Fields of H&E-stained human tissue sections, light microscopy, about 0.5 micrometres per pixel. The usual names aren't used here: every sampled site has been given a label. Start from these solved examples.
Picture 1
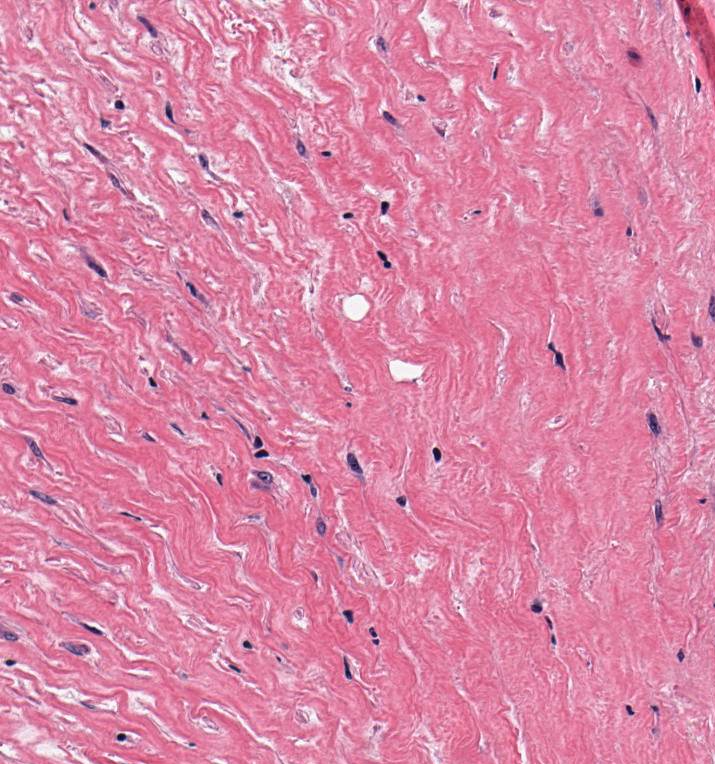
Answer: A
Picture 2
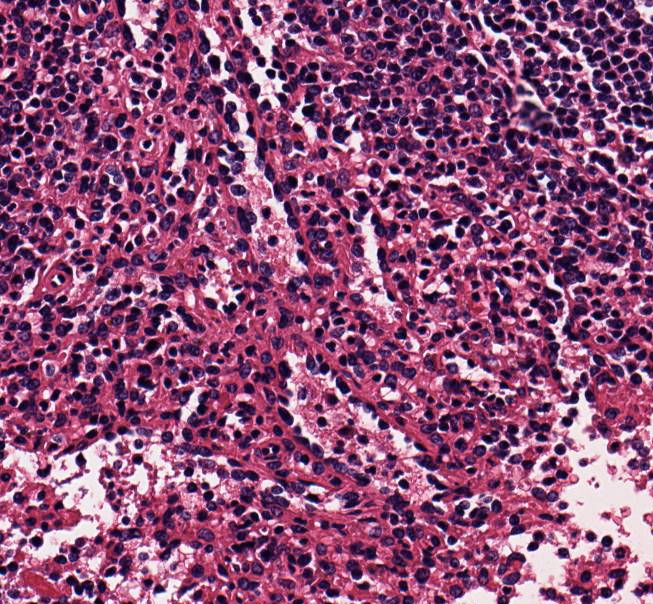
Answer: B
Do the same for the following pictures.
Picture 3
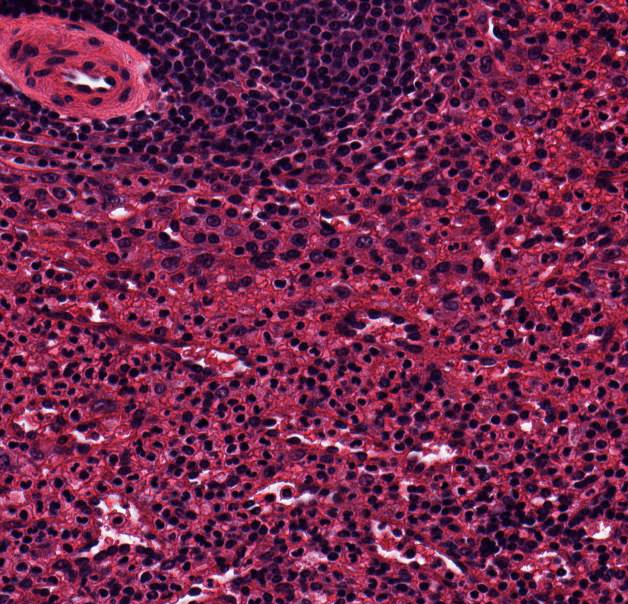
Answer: B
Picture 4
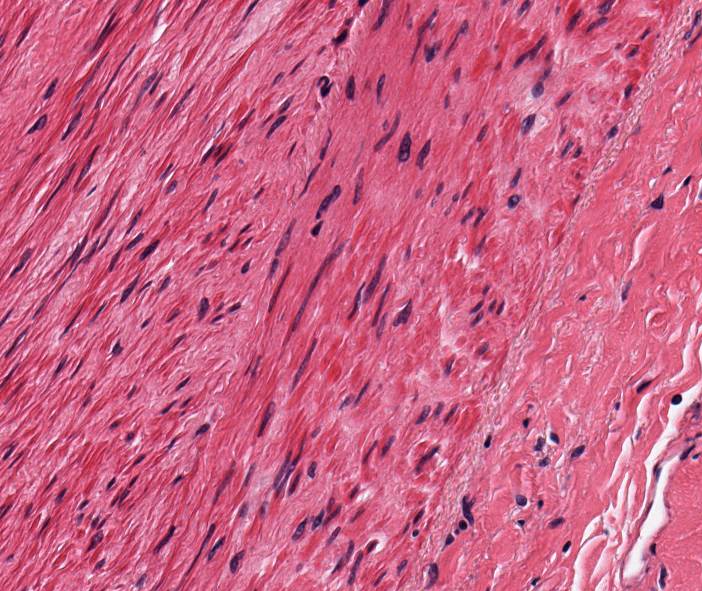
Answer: A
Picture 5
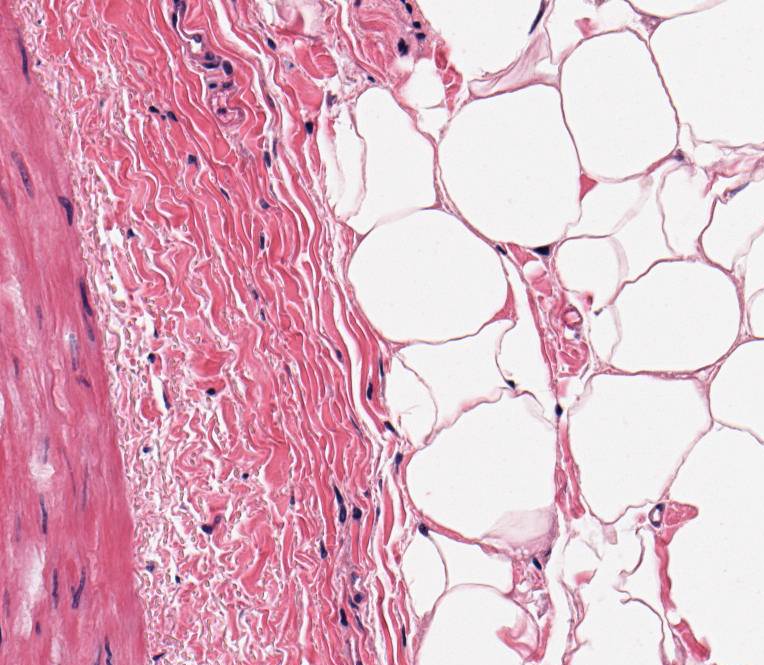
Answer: A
